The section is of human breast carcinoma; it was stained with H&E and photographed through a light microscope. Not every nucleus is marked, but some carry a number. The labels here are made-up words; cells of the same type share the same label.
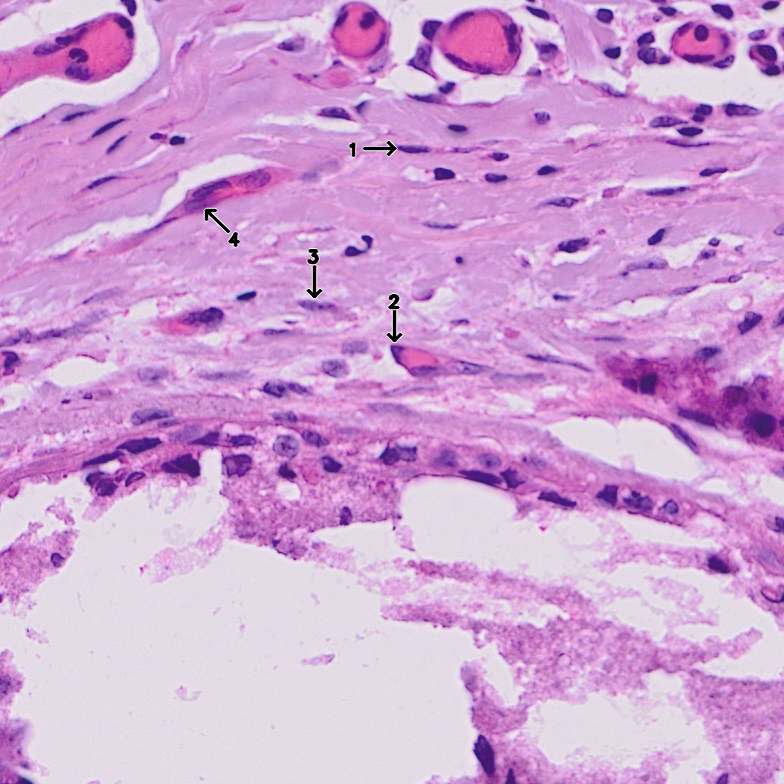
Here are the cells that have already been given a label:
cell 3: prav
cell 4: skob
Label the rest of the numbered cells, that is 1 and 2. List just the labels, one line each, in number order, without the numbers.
prav
skob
